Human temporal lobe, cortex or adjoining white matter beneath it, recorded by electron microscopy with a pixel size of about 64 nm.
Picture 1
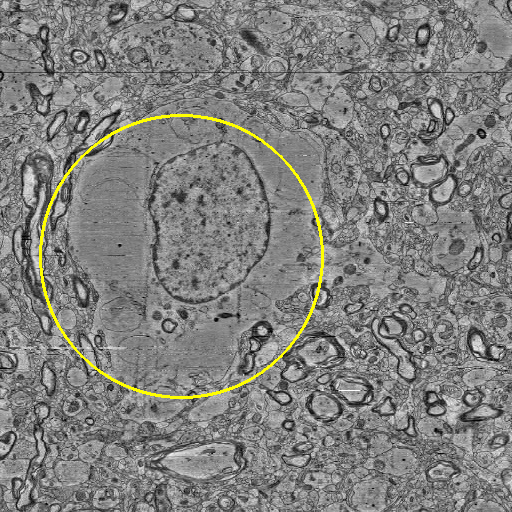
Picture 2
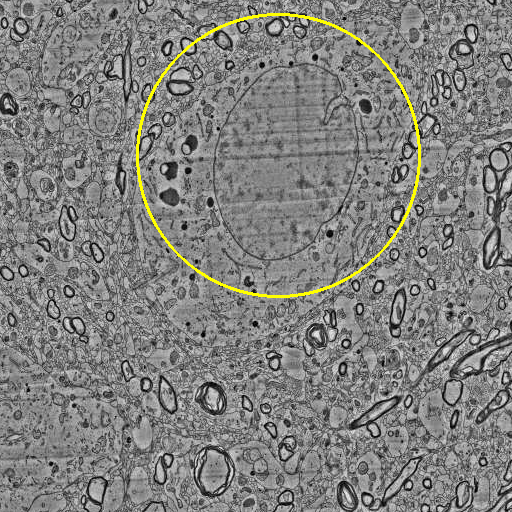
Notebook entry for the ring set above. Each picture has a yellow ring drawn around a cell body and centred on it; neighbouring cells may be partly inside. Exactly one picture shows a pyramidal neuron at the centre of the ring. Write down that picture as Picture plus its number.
Picture 2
